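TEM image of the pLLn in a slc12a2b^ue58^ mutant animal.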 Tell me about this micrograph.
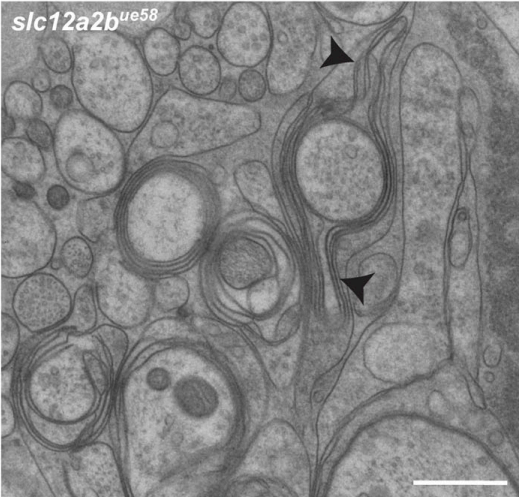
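A transmission electron micrograph of a nerve cross section containing many small, unmyelinated axon profiles packed together, with fine granular axoplasm and small vesicles, alongside a few axons wrapped in dark multilamellar sheaths. Several sheathed axons are round with concentric lamellae. On one sheathed axon, compact multilayered membrane extends away from the axon as elongated loops that run along its side, forming folds of sheath material beyond the axon's circumference. Some axons contain rounded organelles in cross section. Cell processes and membranes fill the spaces between profiles.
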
